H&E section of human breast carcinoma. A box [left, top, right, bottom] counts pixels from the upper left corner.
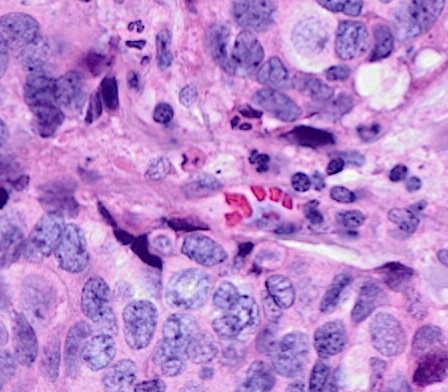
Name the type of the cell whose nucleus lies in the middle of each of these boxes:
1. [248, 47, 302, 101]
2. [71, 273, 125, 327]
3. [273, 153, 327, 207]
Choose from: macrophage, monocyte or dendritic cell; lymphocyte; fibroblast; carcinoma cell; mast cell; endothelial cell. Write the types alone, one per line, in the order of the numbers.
carcinoma cell
carcinoma cell
lymphocyte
